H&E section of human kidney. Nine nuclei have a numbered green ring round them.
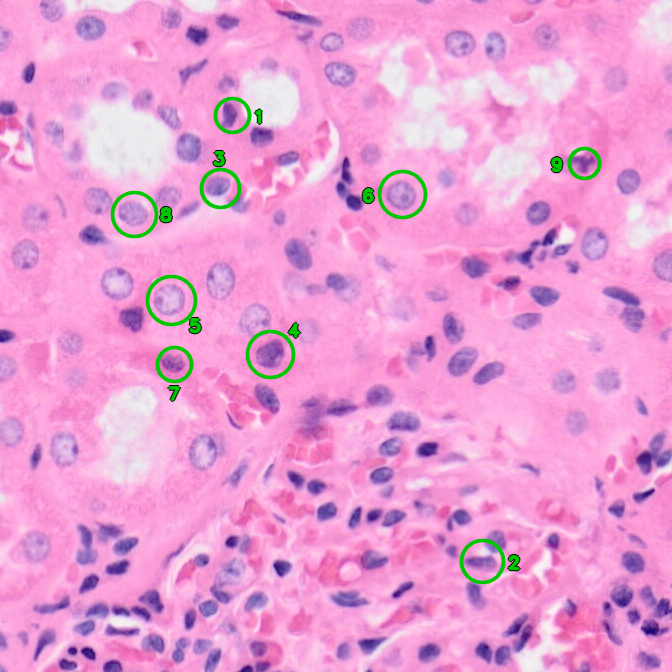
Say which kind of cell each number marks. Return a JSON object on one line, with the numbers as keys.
{"1": "loop of Henle or distal tubule cell", "2": "endothelial cell", "3": "endothelial cell", "4": "proximal tubule cell", "5": "proximal tubule cell", "6": "proximal tubule cell", "7": "proximal tubule cell", "8": "loop of Henle or distal tubule cell", "9": "proximal tubule cell"}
